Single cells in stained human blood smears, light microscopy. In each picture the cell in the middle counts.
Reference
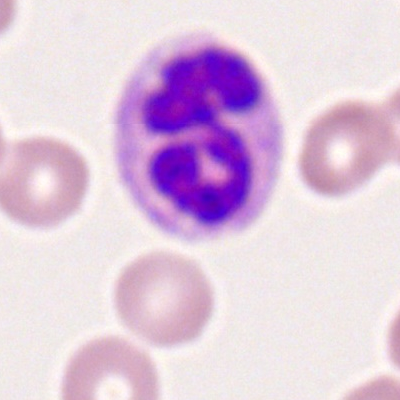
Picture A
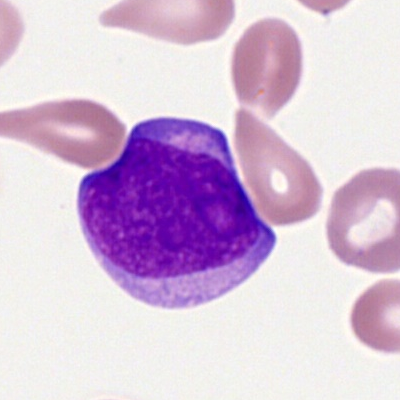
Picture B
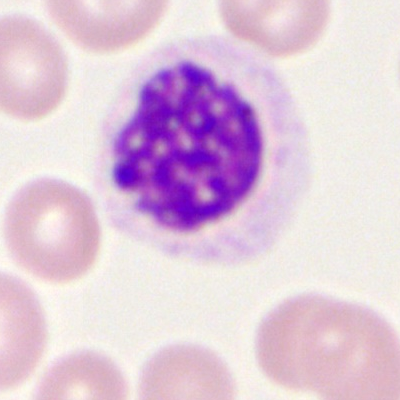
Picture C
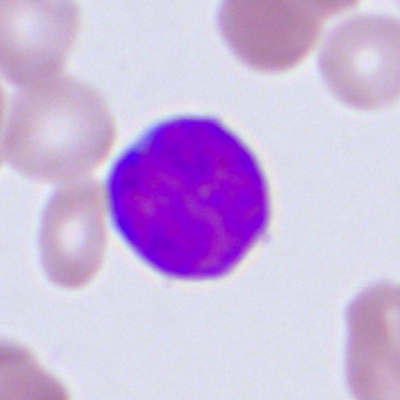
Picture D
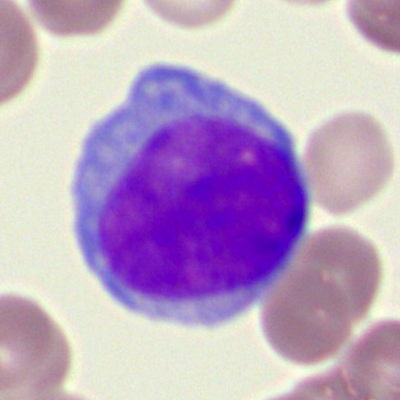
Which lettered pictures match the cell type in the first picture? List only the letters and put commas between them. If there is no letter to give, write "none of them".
B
